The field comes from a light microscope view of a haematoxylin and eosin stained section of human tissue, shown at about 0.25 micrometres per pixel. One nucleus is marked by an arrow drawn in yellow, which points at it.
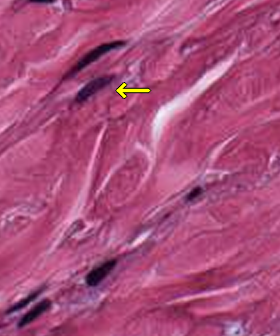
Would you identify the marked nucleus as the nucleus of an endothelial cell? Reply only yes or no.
no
